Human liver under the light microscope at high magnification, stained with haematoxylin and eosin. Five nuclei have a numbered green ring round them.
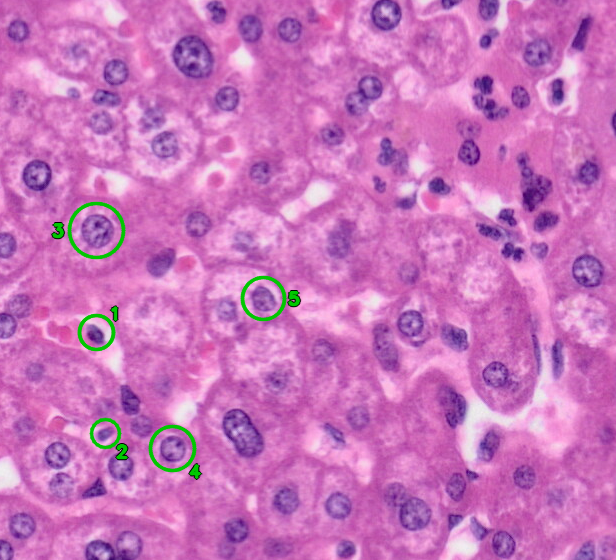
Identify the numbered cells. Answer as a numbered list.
1. lymphocyte
2. lymphocyte
3. hepatocyte
4. hepatocyte
5. hepatocyte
